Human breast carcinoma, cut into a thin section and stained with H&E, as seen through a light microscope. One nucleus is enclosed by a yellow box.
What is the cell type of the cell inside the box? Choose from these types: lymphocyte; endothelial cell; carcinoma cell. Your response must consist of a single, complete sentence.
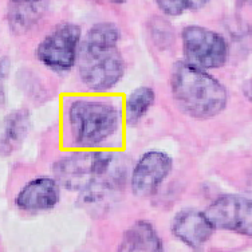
It is as a carcinoma cell that the cell inside the box is classified.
